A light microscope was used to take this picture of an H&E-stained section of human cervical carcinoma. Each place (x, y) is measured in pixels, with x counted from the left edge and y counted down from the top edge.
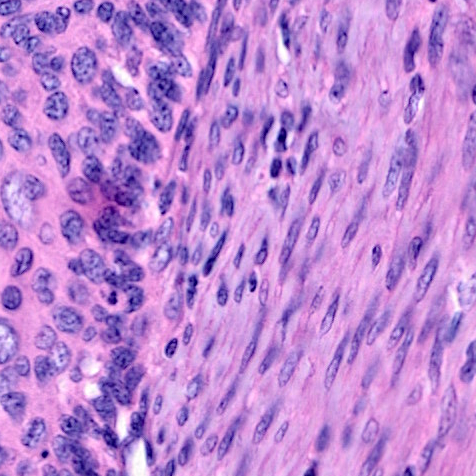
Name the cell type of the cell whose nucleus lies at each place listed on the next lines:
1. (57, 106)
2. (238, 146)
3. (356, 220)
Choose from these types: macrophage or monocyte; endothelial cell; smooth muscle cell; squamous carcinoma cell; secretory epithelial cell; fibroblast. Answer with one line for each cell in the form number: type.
1: squamous carcinoma cell
2: smooth muscle cell
3: smooth muscle cell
